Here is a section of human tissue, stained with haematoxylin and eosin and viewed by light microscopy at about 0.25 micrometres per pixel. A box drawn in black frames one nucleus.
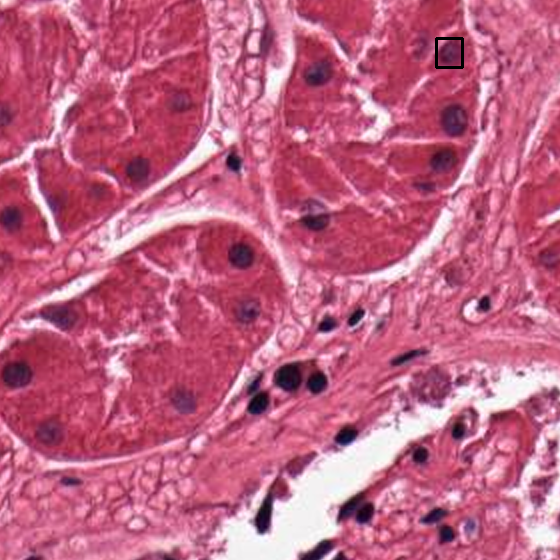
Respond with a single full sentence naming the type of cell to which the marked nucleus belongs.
It is a proximal tubule cell that the marked nucleus belongs to.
